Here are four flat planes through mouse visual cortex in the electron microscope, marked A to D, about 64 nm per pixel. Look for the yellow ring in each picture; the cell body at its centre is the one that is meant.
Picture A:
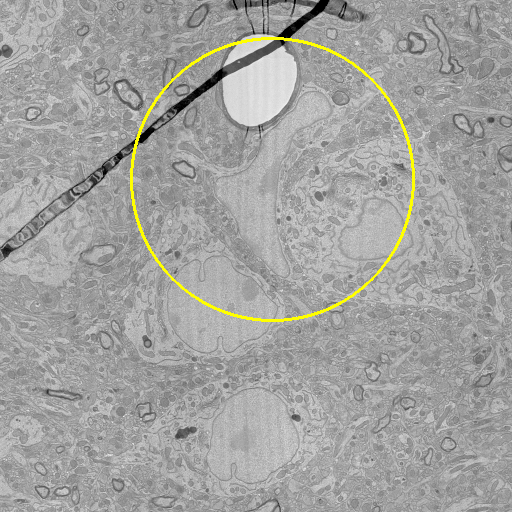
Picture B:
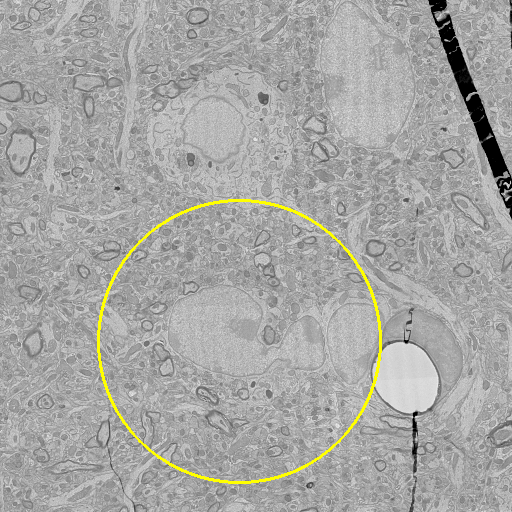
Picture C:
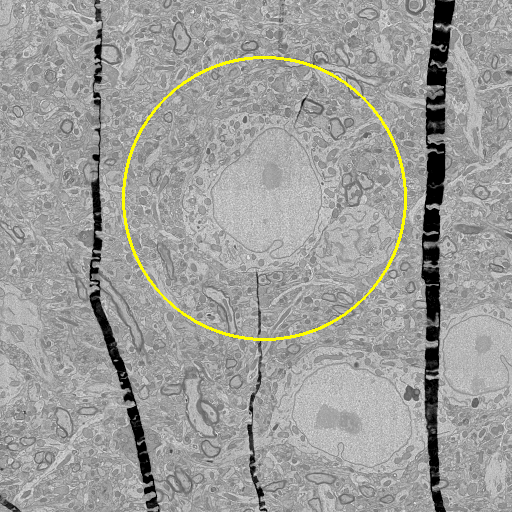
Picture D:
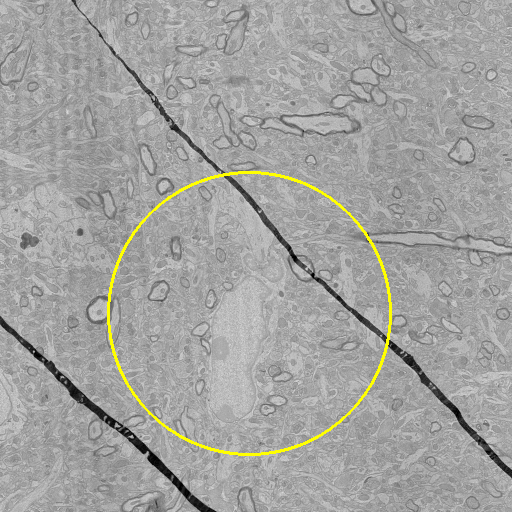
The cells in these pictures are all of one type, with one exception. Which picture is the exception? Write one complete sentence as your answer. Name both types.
Picture C is the odd one out: it shows an inhibitory neuron, while the others show oligodendrocyte precursor cells.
